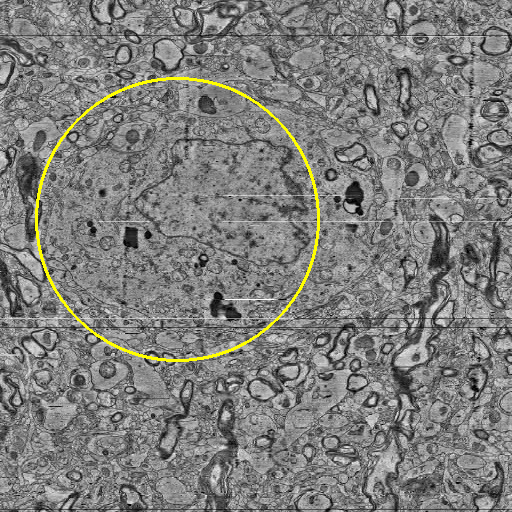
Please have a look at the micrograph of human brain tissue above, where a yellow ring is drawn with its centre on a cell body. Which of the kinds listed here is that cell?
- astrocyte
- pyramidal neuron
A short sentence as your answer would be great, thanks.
At the centre of the ring sits a pyramidal neuron.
